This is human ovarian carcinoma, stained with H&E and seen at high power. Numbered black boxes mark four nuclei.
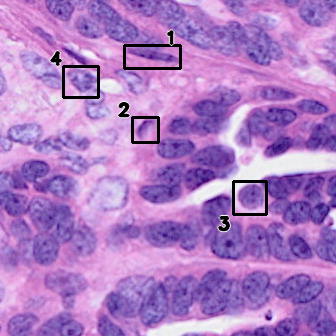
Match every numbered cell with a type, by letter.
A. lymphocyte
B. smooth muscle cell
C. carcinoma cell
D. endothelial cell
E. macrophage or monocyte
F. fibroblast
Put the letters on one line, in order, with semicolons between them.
F; F; C; F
